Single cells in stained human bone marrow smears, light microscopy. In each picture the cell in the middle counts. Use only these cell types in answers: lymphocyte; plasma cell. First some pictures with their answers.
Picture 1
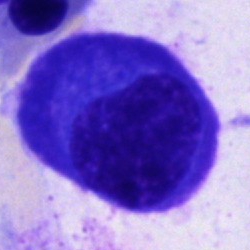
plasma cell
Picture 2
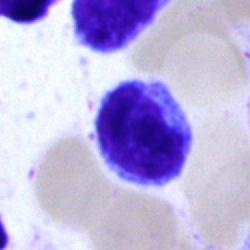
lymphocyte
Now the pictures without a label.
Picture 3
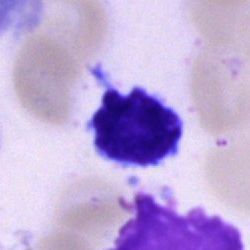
lymphocyte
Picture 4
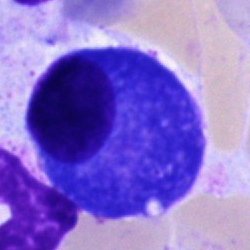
plasma cell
